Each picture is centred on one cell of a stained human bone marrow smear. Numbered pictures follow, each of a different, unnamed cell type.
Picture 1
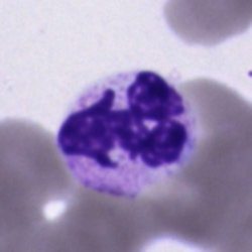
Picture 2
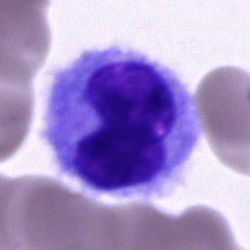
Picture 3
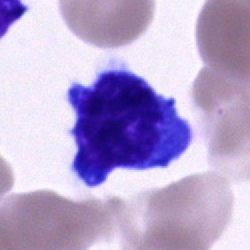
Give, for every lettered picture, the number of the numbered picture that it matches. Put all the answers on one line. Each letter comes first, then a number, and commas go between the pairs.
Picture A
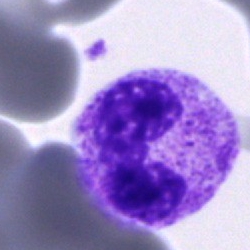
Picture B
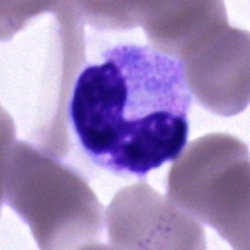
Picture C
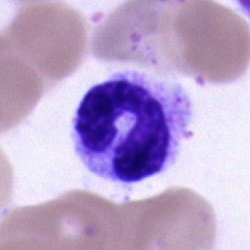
A 1, B 1, C 1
